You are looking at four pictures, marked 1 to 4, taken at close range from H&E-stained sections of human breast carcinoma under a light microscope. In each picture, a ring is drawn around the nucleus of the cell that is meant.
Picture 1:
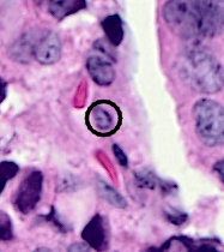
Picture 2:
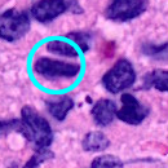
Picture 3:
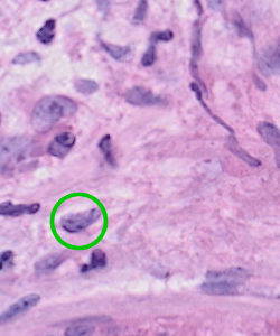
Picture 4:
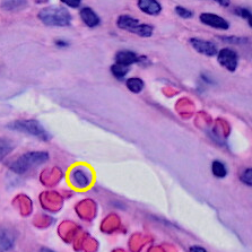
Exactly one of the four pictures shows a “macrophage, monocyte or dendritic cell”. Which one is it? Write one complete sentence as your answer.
It is picture 3 that shows the “macrophage, monocyte or dendritic cell”.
